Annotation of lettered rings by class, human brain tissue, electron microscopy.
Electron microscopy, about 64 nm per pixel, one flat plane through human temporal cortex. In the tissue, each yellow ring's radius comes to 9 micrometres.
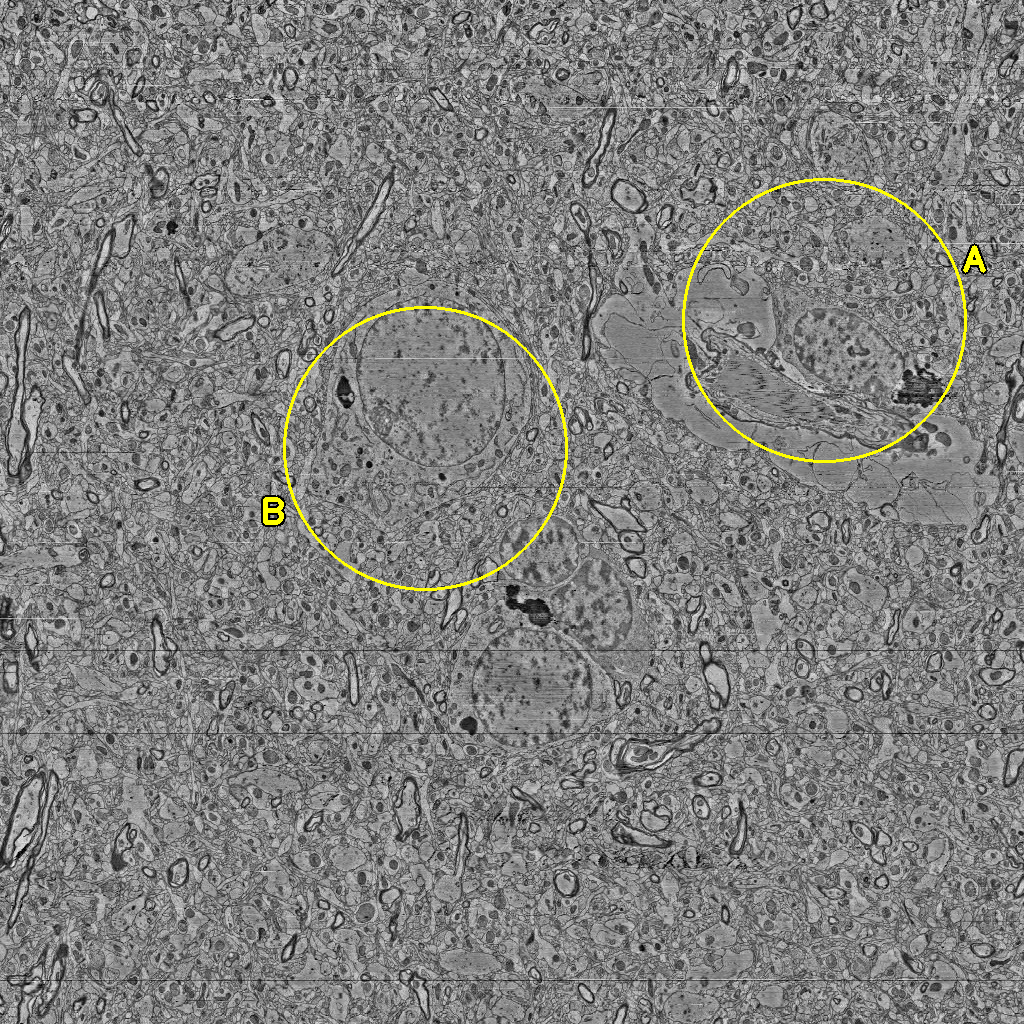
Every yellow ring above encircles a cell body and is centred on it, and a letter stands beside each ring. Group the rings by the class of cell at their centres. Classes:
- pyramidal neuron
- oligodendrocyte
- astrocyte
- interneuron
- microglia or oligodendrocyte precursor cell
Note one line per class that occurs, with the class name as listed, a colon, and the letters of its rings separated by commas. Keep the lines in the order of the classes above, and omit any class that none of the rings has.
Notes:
pyramidal neuron: B
oligodendrocyte: A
